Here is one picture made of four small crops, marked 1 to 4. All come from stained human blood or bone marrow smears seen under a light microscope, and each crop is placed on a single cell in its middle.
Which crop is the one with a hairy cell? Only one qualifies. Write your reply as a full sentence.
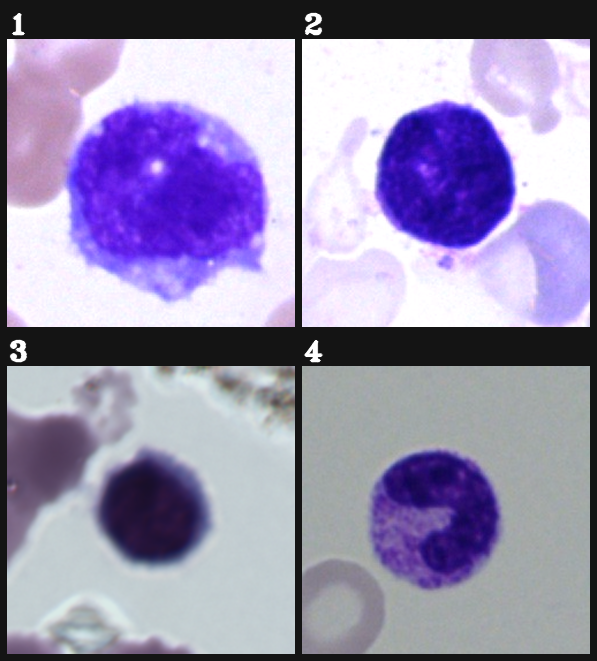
Of all the crops, crop 3 is the one showing a hairy cell.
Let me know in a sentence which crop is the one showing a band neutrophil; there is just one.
Only in crop 4 is a band neutrophil shown.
